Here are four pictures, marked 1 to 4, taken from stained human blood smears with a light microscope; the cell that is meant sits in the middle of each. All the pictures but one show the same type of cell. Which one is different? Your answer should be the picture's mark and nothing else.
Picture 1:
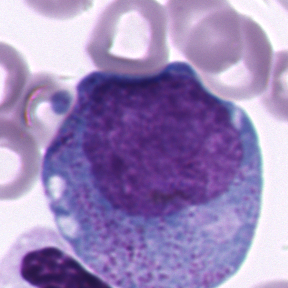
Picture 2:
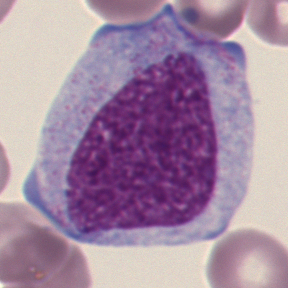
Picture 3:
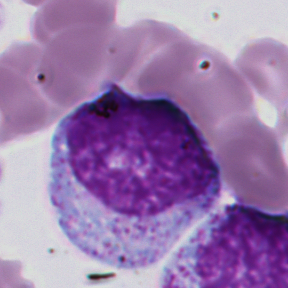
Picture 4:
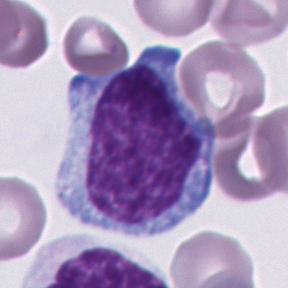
3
